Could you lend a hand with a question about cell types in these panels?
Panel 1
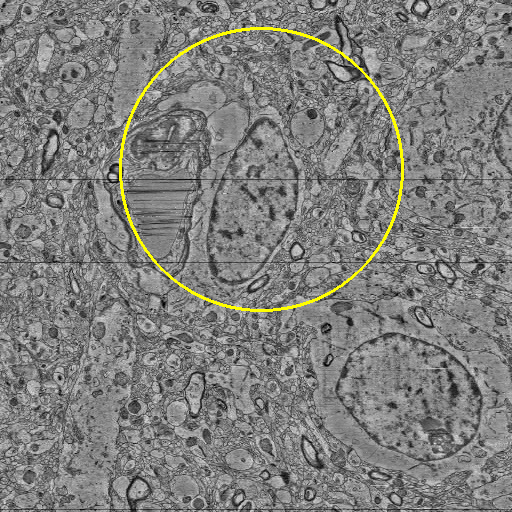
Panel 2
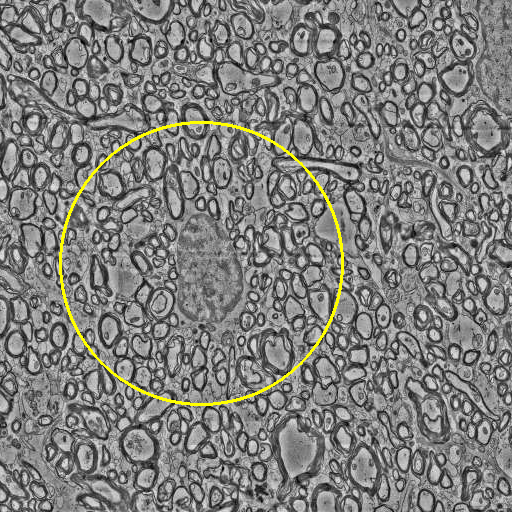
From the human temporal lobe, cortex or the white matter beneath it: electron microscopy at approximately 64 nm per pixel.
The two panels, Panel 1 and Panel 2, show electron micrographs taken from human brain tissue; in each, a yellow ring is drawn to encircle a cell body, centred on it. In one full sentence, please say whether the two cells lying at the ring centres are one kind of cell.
No, the cells at the ring centres in the two panels are two kinds of cell.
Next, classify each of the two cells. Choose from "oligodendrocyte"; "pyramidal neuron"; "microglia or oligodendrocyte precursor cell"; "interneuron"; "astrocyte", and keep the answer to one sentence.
In the first picture it is a microglial cell or oligodendrocyte precursor cell; in the second it is an oligodendrocyte.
